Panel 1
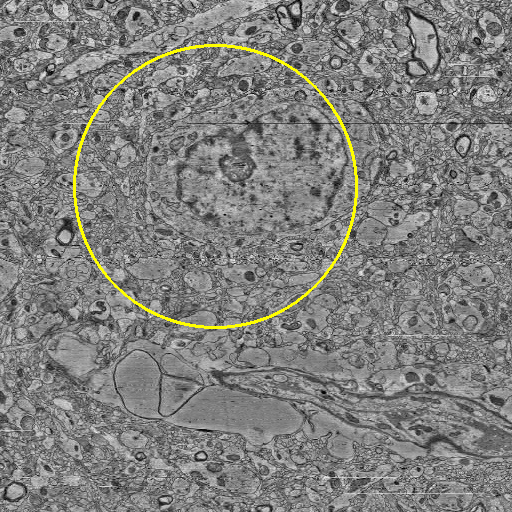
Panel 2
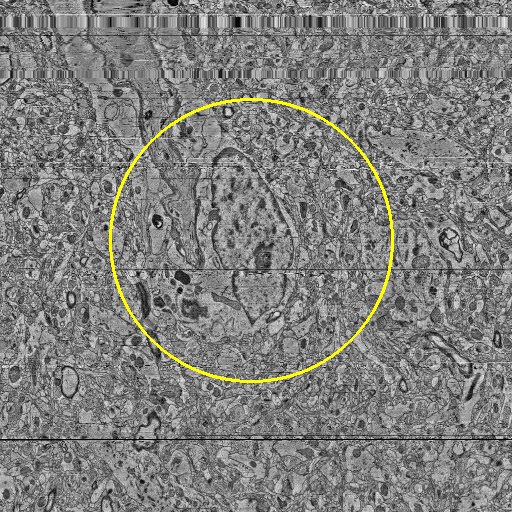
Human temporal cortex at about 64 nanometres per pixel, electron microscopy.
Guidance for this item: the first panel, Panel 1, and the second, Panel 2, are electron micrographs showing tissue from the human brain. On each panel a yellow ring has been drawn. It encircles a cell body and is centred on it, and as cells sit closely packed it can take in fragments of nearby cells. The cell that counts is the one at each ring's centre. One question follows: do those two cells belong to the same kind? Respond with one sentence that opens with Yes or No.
No, the cells at the ring centres in Panel 1 and Panel 2 are of two kinds.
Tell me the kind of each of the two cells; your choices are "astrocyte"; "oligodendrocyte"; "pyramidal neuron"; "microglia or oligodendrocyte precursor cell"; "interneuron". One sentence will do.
The ringed cell is an interneuron in the first picture and a microglial cell or oligodendrocyte precursor cell in the second picture.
